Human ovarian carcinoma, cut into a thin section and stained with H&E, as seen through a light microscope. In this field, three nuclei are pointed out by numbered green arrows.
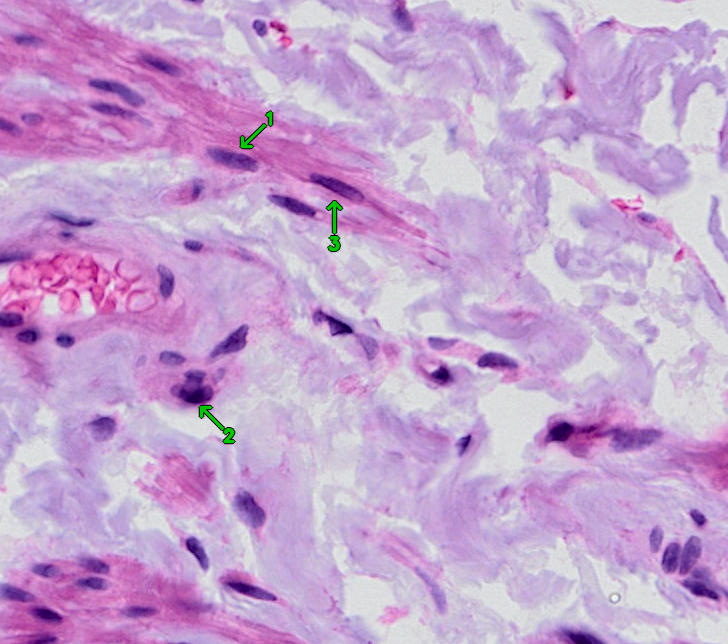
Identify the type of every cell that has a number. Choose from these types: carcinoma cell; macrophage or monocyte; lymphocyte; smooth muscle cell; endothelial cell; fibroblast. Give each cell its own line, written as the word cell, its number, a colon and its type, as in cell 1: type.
cell 1: smooth muscle cell
cell 2: endothelial cell
cell 3: smooth muscle cell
